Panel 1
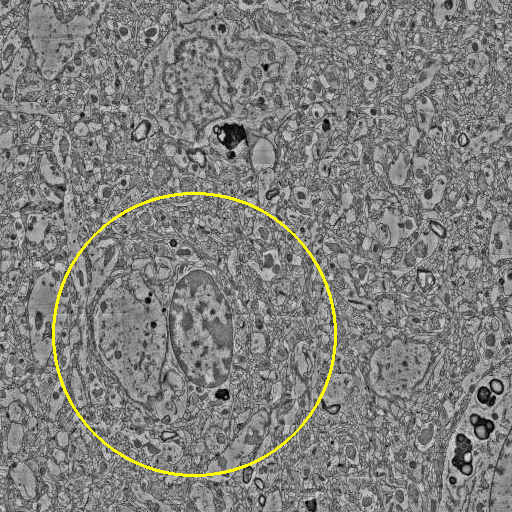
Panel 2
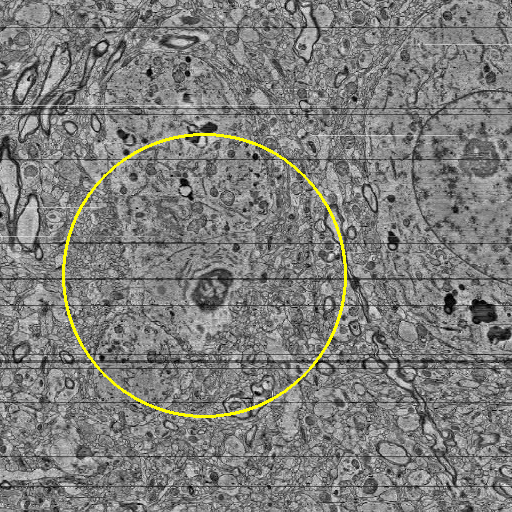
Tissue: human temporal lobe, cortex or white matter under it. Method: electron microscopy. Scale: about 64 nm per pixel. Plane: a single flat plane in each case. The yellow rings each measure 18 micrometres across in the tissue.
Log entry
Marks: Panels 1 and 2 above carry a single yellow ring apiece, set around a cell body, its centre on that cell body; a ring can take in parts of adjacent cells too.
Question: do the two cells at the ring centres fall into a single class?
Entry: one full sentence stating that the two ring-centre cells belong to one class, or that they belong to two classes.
The two ring-centre cells in Panels 1 and 2 belong to one class.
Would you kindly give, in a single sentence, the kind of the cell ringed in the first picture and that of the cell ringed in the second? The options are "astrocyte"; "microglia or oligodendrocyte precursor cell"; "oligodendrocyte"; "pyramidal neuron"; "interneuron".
The cell in the first picture is a microglial cell or oligodendrocyte precursor cell, and so is the one in the second.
